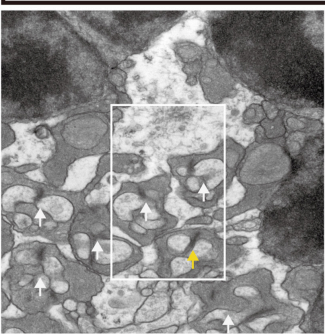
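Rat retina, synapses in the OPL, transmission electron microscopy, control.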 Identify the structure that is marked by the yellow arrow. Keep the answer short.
dyads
